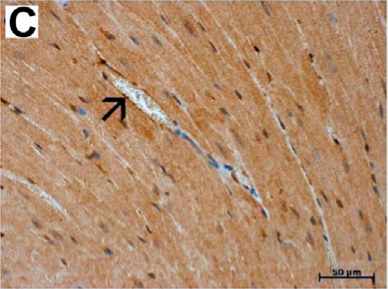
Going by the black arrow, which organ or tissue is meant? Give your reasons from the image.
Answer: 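The arrow points to the thin lining of a narrow vessel lumen between muscle fibres. Flattened elongated nuclei line the lumen.
Endothelium.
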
